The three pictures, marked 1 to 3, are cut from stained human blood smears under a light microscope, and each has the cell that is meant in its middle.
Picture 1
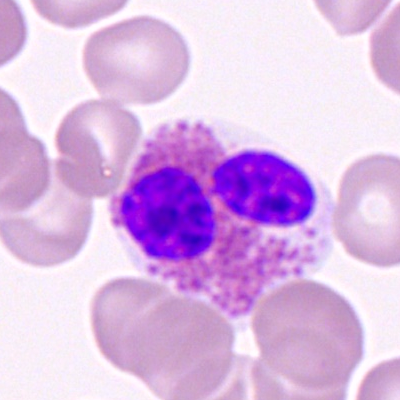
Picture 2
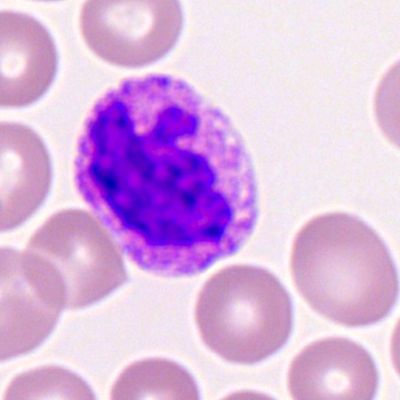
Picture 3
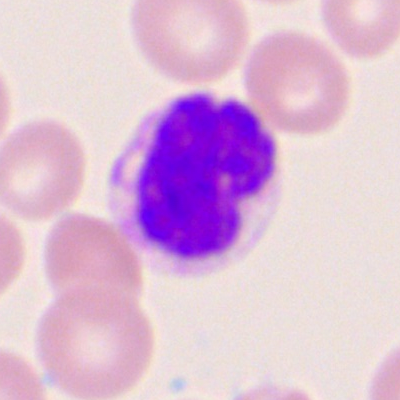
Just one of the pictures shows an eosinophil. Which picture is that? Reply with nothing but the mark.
1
